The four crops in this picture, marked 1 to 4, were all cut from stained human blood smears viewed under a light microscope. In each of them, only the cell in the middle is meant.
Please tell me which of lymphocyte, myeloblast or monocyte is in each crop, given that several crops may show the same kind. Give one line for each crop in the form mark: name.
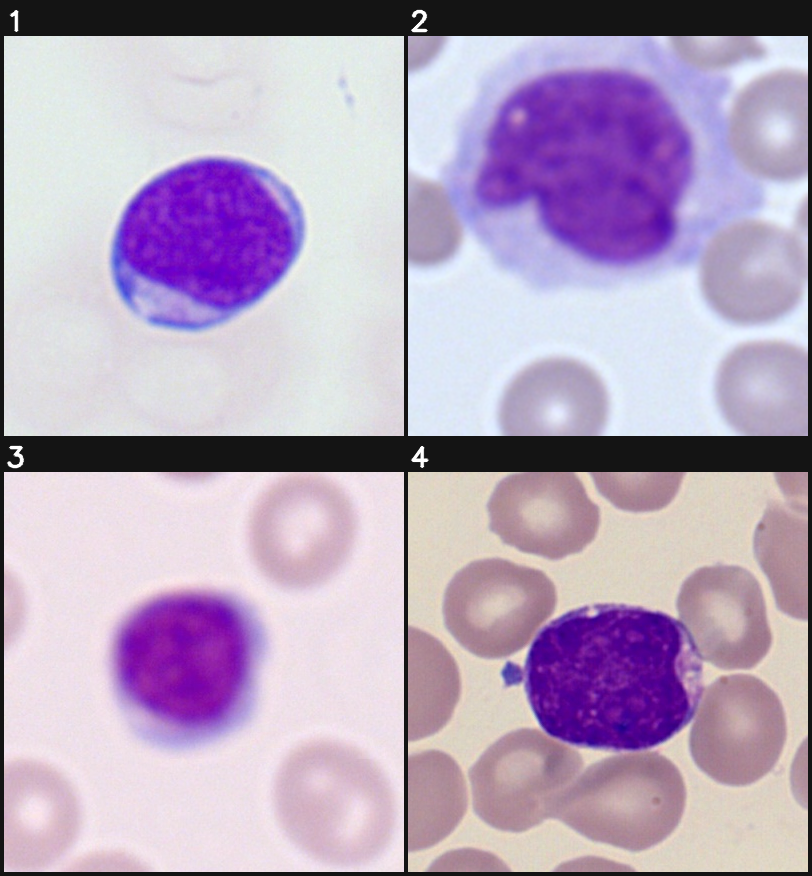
1: myeloblast
2: monocyte
3: lymphocyte
4: myeloblast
